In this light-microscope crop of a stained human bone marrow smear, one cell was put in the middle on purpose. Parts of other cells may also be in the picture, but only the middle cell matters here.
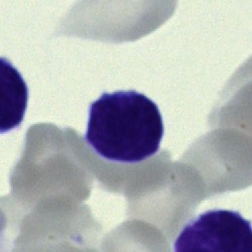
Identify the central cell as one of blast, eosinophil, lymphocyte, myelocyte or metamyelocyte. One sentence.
Centrally within this crop lies a lymphocyte.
